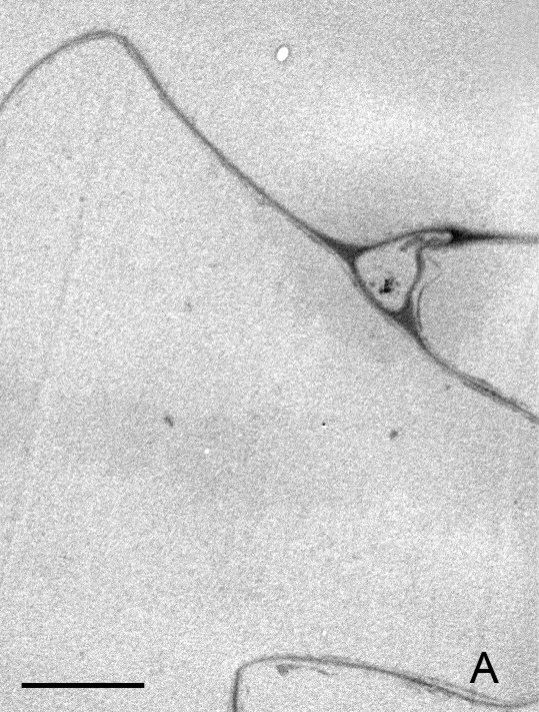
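Three large parenchymatic cells meet, with a small triangle shaped extracellular region between them at their junction. The cells are bounded by thin, dark, smooth walls and their interiors appear evenly pale with very little visible content. Where the three walls meet, the walls thicken and enclose the triangular space, which holds a small amount of dark granular material.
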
